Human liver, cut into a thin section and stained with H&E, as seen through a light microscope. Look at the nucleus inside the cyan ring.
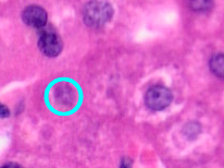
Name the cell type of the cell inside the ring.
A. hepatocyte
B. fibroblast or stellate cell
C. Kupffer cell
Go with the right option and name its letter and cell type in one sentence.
Hey, it is option A: the cell inside the ring is a hepatocyte.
